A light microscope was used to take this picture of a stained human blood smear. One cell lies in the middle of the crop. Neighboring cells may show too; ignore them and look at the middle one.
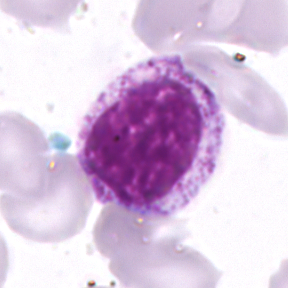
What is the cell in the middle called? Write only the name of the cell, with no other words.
myelocyte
